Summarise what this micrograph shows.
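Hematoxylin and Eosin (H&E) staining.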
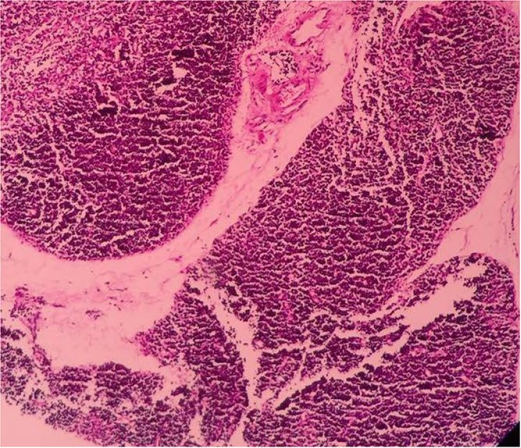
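Several lobules are crowded with small, round, dark purple nuclei of tightly packed cells with scant cytoplasm, separated by broad pale pink connective tissue septa that carry a small vessel. This is lymphoid tissue of the thymus, and no necrotic areas or clusters of inflammatory cells stand out.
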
